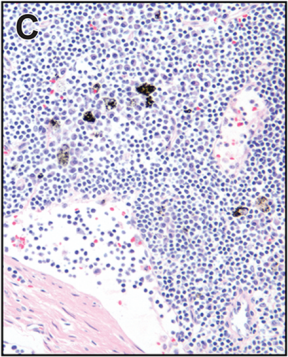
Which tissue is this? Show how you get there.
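Lymph nodes. Sheets of densely packed small round dark lymphocytes. A sinus-like clear space with scattered cells. Scattered dark pigment deposits among the lymphocytes.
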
